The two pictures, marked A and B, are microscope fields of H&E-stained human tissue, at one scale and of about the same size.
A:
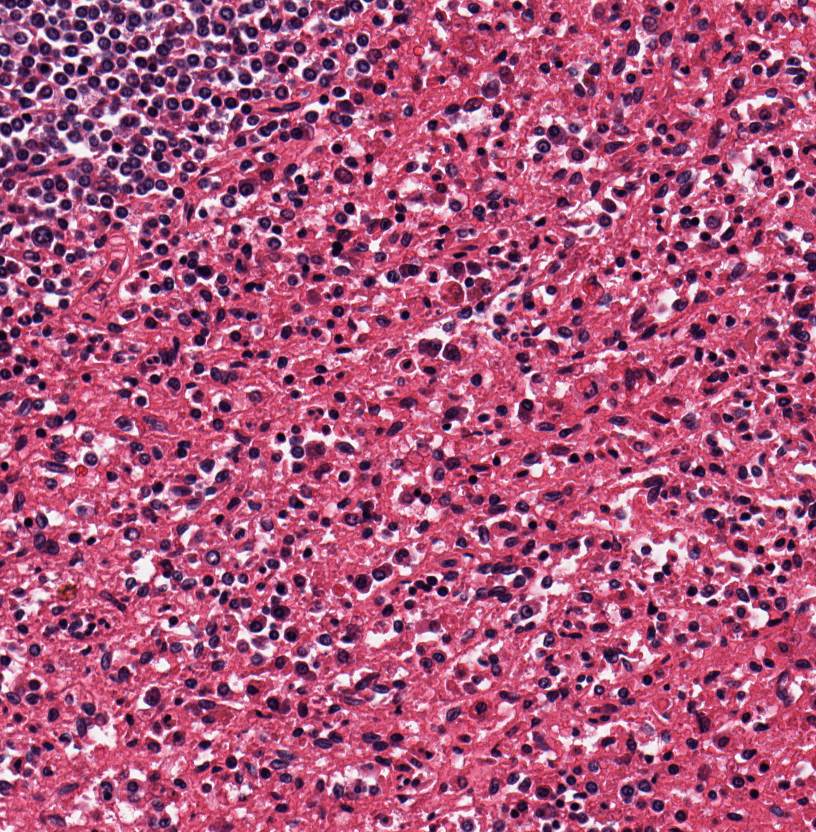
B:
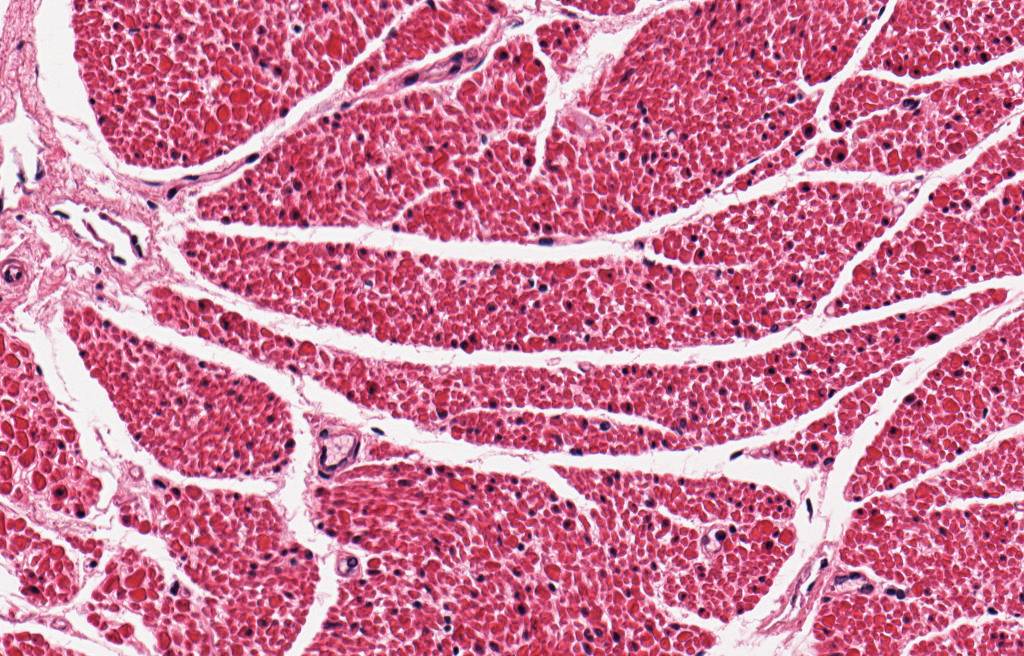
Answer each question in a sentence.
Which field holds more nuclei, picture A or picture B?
The larger number of nuclei is in picture A.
